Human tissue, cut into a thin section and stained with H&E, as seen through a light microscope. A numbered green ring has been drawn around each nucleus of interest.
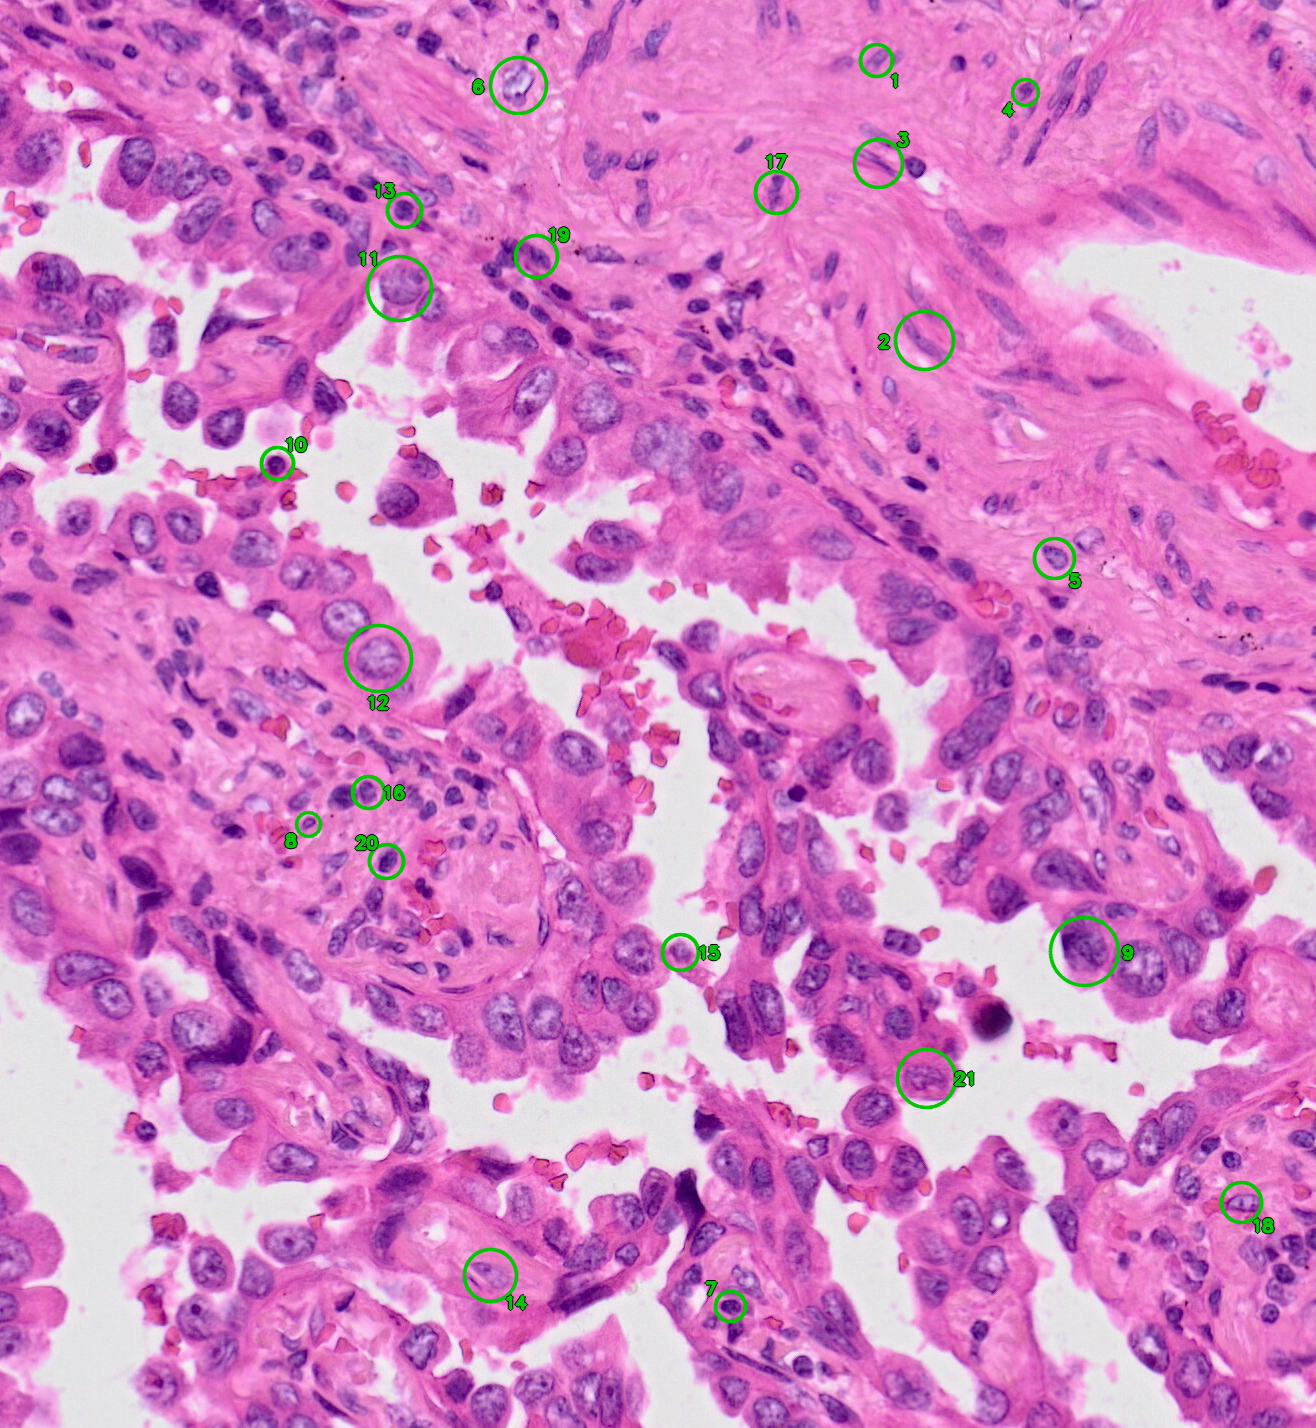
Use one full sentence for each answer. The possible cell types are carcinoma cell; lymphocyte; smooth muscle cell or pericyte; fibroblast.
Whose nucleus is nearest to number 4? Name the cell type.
It is a smooth muscle cell or pericyte whose nucleus is nearest to number 4.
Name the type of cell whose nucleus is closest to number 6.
Closest to number 6 lies the nucleus of a lymphocyte.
